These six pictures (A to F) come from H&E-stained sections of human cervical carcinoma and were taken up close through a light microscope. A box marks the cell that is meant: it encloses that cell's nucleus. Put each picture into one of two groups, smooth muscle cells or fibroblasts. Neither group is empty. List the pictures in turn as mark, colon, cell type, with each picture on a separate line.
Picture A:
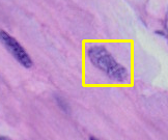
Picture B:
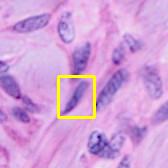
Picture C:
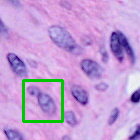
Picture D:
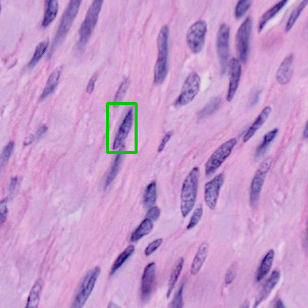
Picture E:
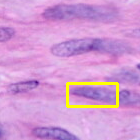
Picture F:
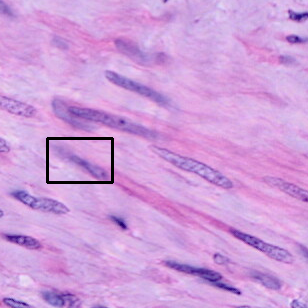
A: fibroblast
B: smooth muscle cell
C: smooth muscle cell
D: fibroblast
E: smooth muscle cell
F: smooth muscle cell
